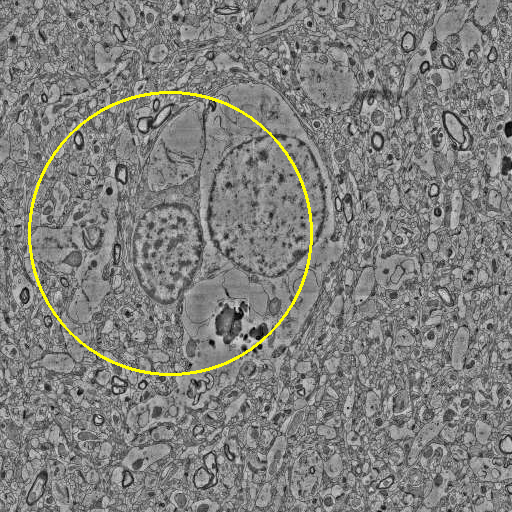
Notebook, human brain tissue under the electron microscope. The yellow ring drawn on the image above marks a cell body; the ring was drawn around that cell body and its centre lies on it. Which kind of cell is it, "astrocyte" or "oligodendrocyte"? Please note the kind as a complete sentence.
The marked cell body is that of an oligodendrocyte.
